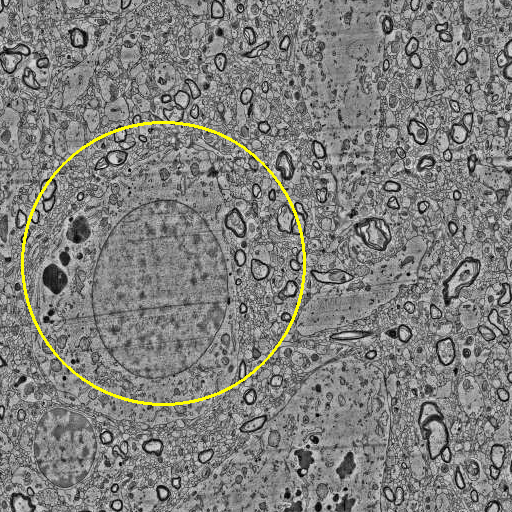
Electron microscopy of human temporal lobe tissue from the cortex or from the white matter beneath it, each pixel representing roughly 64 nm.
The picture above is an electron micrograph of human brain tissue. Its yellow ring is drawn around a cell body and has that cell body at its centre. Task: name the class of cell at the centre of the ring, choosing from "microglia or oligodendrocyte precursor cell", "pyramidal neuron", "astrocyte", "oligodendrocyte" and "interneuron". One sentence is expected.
The ring surrounds the body of an interneuron.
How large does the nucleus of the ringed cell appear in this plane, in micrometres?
In this plane, about 12 micrometres in length and 9 in width.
